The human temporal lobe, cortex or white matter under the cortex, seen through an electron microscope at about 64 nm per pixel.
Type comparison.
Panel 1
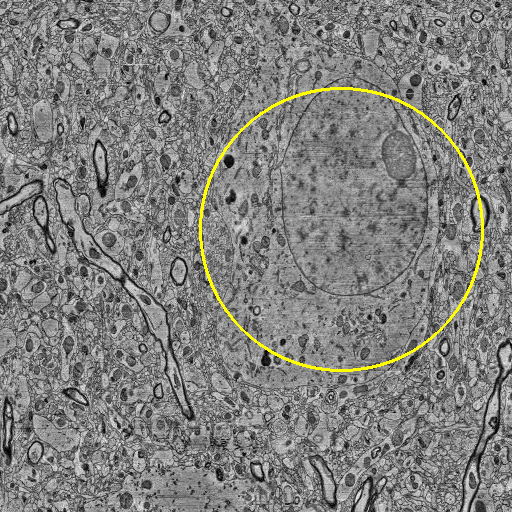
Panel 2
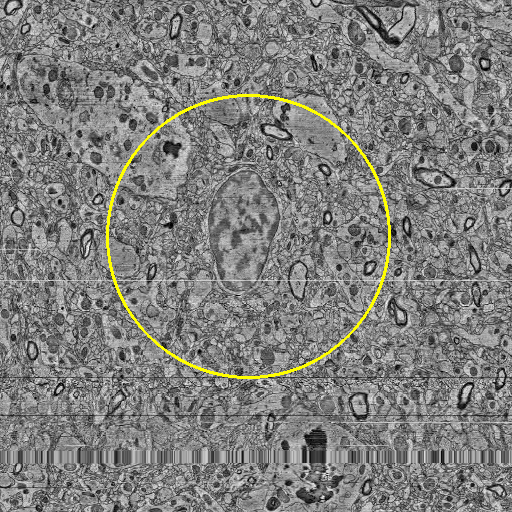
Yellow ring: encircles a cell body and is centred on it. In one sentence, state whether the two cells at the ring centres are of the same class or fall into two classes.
In these panels, the two cells at the ring centres fall into two classes.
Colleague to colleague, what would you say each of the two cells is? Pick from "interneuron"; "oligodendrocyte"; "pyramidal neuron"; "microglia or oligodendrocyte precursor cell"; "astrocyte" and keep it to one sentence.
The cell in the first picture is a pyramidal neuron; the second picture's cell is a microglial cell or oligodendrocyte precursor cell.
